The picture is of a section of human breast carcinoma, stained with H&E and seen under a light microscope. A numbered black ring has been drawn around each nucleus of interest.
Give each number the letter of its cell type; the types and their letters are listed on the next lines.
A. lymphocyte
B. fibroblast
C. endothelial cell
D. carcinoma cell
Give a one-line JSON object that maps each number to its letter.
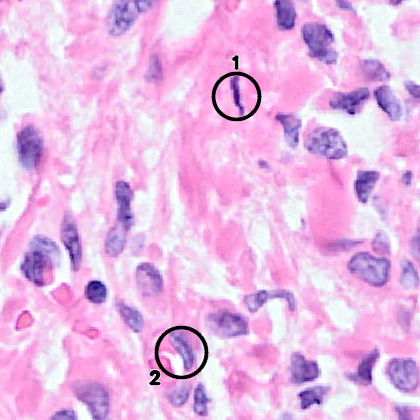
{"1": "B", "2": "C"}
